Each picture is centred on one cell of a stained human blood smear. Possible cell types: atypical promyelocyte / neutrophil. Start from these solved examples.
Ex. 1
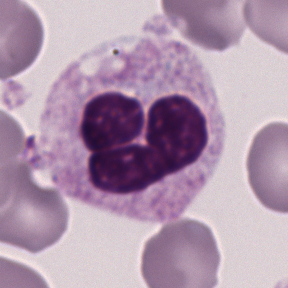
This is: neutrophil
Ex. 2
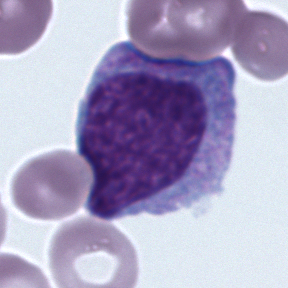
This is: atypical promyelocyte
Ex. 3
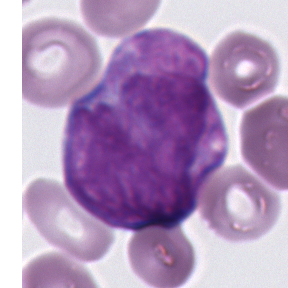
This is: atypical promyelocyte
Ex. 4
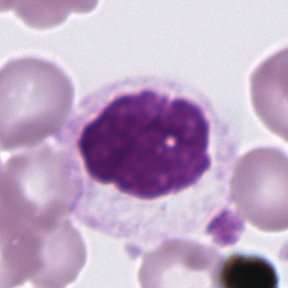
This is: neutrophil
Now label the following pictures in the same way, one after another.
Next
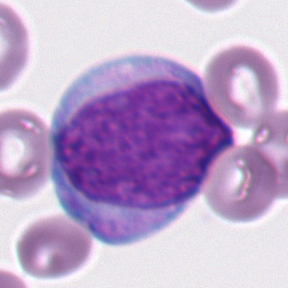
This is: atypical promyelocyte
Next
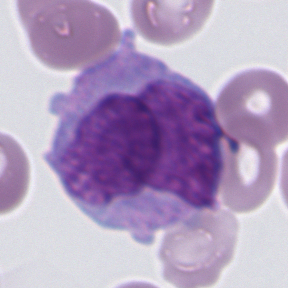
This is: atypical promyelocyte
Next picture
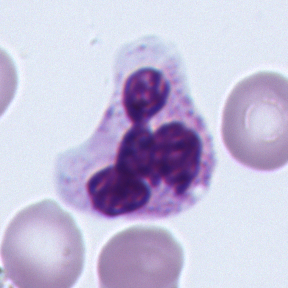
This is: neutrophil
